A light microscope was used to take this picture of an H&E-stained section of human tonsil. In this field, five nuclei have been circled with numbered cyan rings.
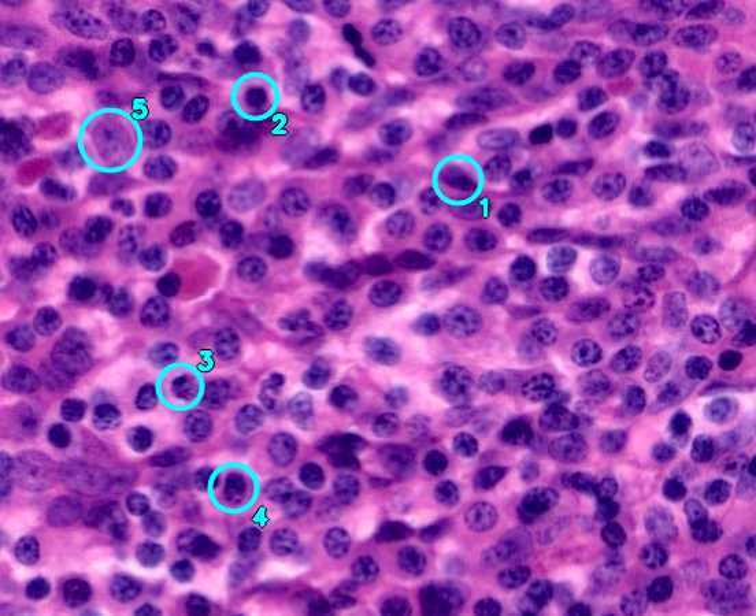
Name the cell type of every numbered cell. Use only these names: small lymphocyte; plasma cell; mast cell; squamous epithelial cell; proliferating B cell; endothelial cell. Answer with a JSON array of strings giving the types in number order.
["squamous epithelial cell", "squamous epithelial cell", "plasma cell", "plasma cell", "squamous epithelial cell"]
